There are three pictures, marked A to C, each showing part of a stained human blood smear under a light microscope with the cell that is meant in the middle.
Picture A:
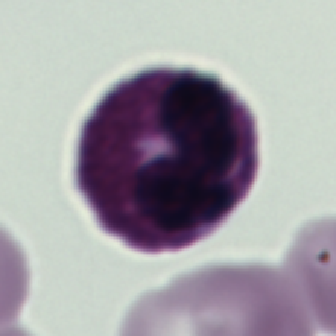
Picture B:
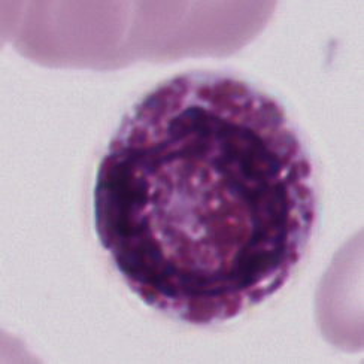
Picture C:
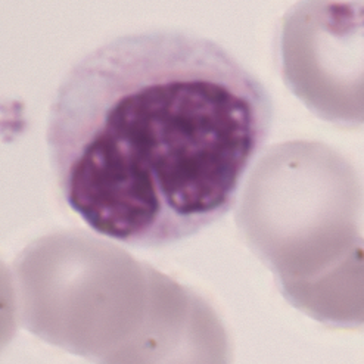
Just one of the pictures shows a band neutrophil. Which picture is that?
C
